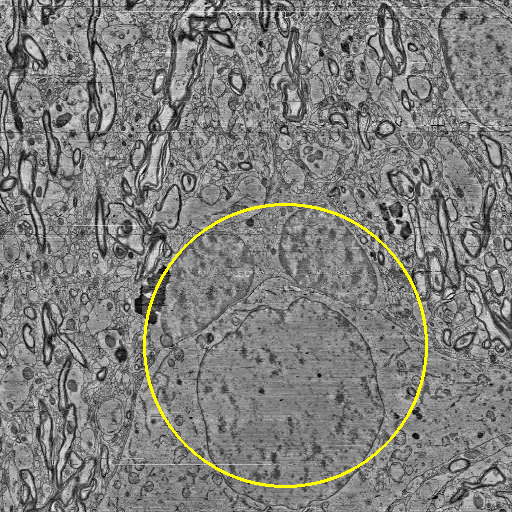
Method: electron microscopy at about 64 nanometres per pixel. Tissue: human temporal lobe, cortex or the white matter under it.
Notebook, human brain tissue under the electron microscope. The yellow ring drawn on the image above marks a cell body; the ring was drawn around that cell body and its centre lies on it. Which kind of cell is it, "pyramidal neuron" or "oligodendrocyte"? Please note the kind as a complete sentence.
The marked cell body is that of a pyramidal neuron.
